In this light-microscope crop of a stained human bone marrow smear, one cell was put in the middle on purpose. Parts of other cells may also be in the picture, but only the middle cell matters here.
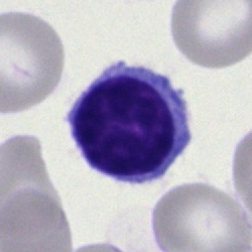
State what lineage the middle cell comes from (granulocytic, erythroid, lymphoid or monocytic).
lymphoid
